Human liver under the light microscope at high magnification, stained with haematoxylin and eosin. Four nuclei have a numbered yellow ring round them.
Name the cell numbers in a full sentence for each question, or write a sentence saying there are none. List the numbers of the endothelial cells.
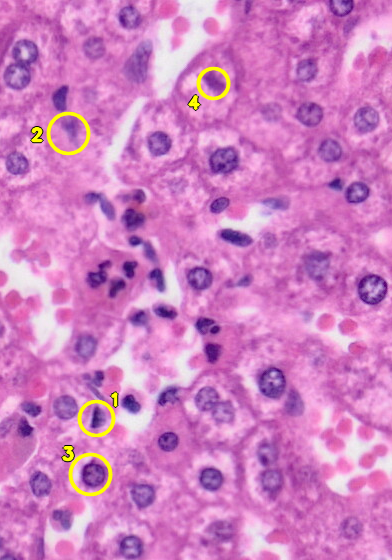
Among the numbered nuclei, only the one labelled 2 belongs to an endothelial cell.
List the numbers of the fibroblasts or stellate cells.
The cell labelled 1 is a fibroblast or stellate cell, while the remaining numbered cells are not.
